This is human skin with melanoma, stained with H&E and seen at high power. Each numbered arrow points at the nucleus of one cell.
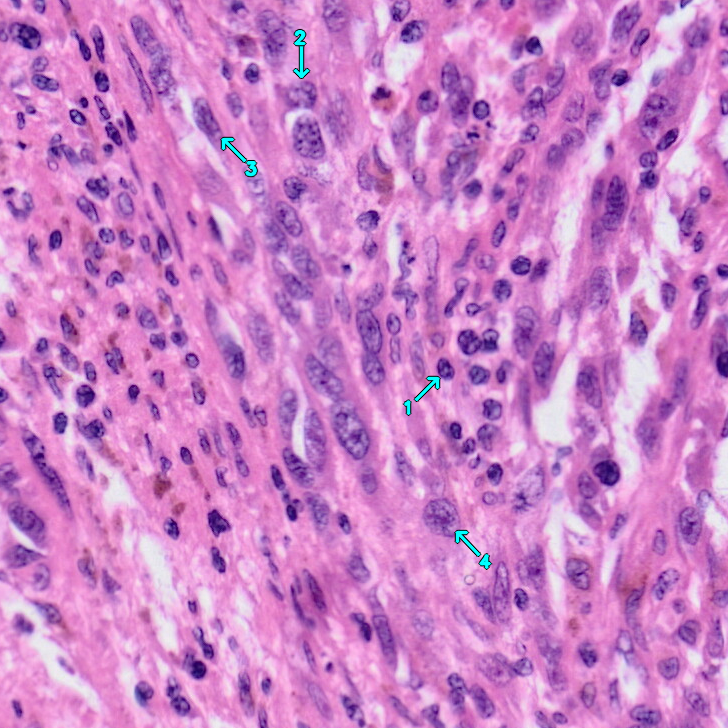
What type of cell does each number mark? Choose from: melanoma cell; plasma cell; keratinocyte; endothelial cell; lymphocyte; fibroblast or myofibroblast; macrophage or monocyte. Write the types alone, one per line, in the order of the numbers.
lymphocyte
melanoma cell
melanoma cell
melanoma cell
